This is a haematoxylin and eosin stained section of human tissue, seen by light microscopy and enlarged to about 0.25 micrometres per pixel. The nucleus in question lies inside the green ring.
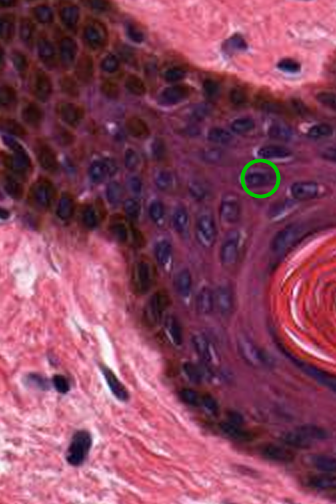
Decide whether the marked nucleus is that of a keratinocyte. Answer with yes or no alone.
yes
